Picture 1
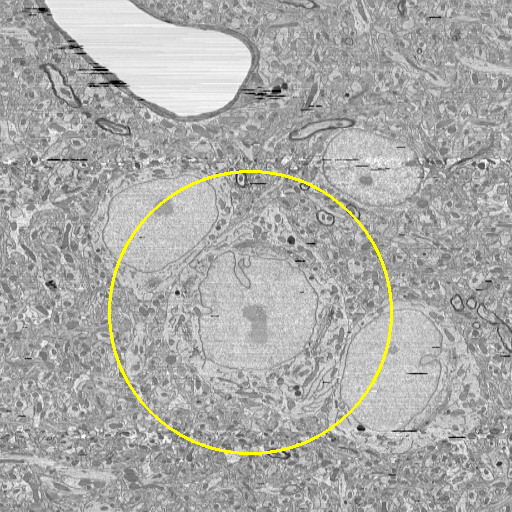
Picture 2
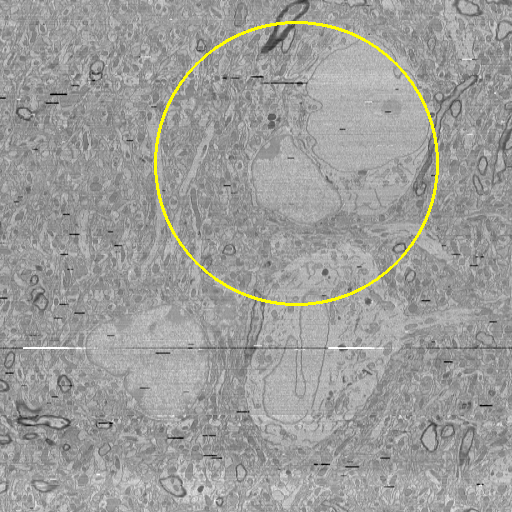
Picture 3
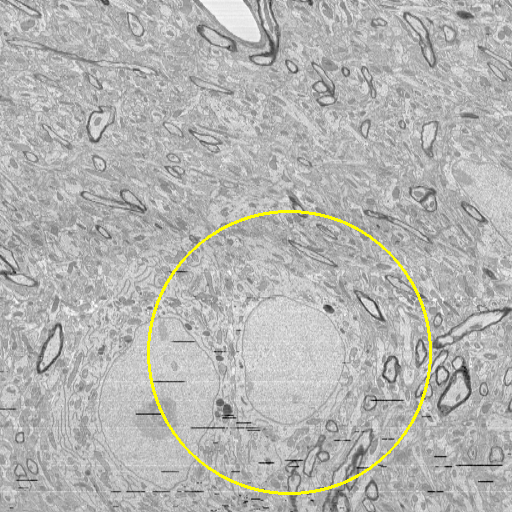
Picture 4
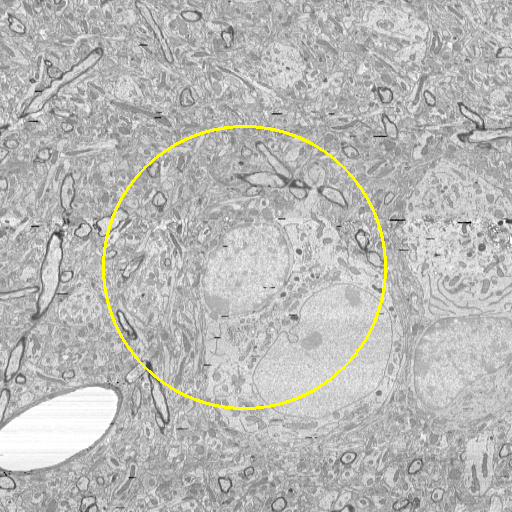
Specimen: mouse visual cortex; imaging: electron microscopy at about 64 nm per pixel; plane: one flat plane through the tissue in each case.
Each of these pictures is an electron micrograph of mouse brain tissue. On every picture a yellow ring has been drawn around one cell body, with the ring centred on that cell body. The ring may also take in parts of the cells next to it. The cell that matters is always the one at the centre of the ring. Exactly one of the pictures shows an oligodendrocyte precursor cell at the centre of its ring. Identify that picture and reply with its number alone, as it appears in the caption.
2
